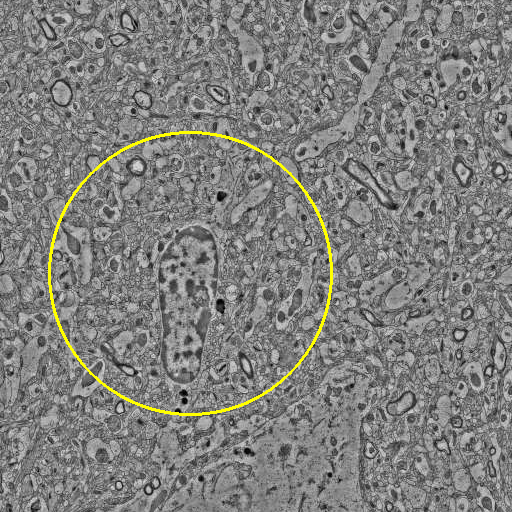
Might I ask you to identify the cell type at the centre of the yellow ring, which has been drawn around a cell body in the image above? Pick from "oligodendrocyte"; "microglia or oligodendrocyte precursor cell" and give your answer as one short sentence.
The centre of the ring falls on a microglial cell or oligodendrocyte precursor cell.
